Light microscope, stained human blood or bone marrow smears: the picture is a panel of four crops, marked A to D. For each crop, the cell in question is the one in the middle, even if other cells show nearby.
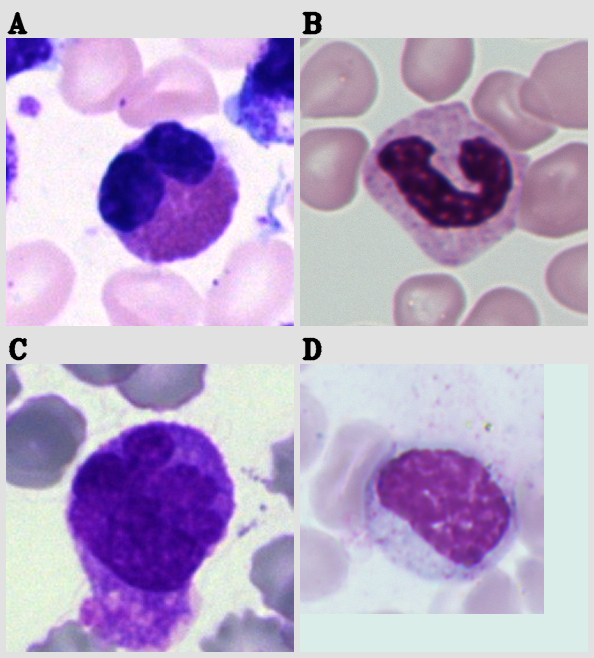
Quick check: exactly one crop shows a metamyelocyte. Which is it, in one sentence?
The sole crop showing a metamyelocyte is crop D.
